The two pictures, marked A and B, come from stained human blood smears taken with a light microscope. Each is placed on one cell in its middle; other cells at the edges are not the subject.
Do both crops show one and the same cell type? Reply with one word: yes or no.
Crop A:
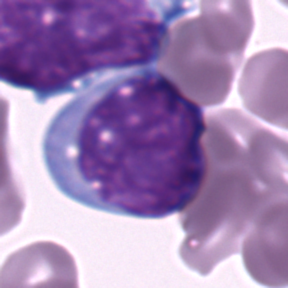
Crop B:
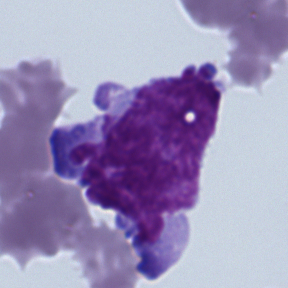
yes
